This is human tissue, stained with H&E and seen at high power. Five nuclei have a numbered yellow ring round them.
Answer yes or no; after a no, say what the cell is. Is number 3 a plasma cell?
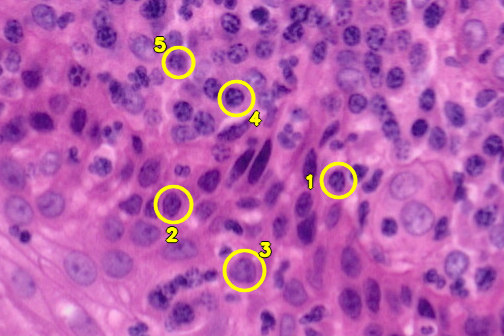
No, it is a squamous epithelial cell.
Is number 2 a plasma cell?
No, it is a squamous epithelial cell.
